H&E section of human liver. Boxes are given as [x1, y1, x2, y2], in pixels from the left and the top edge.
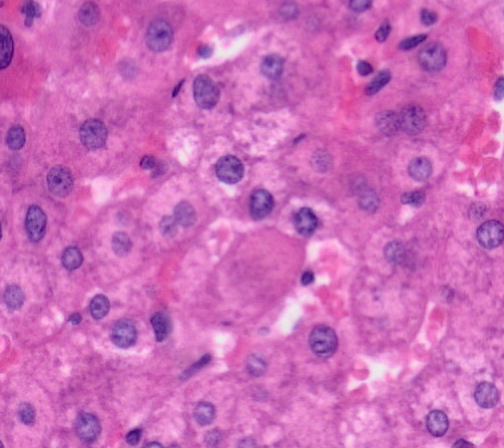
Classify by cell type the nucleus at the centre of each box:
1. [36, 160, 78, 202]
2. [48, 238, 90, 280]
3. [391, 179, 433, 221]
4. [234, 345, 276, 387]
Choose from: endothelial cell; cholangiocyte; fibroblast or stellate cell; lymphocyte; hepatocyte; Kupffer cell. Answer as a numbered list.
1. hepatocyte
2. hepatocyte
3. endothelial cell
4. hepatocyte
